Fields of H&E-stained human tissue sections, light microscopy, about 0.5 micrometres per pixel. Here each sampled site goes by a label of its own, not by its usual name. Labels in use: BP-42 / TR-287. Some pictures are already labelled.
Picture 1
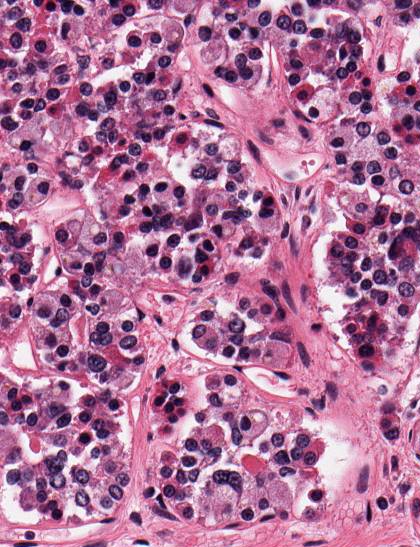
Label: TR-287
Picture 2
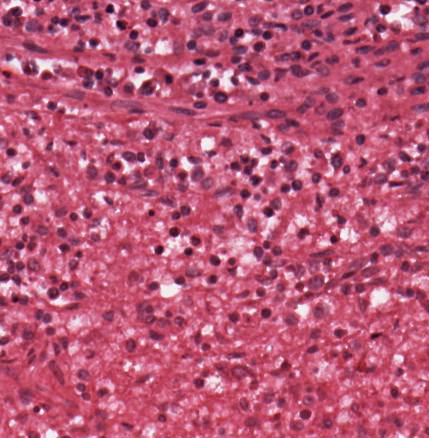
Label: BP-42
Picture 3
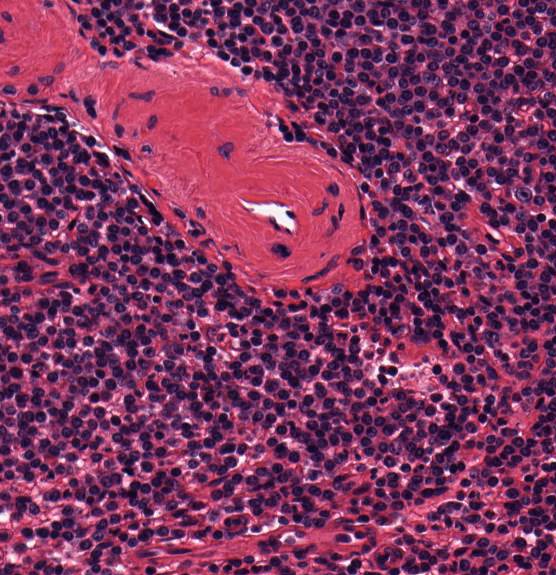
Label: BP-42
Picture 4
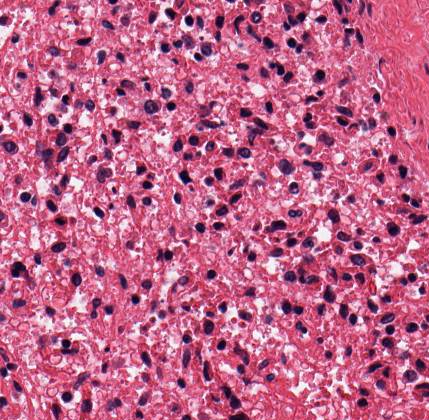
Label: BP-42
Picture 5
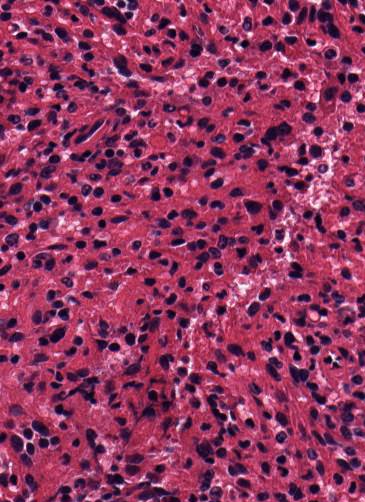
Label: BP-42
